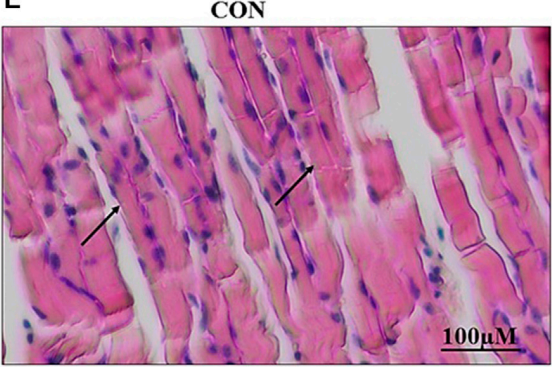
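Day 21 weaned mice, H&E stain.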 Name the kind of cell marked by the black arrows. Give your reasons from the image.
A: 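Long parallel pink-staining fibers run diagonally across the field. Elongated dark purple nuclei lie along the fibers. The arrows point at individual fibers. That points to this answer: muscle fibers.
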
